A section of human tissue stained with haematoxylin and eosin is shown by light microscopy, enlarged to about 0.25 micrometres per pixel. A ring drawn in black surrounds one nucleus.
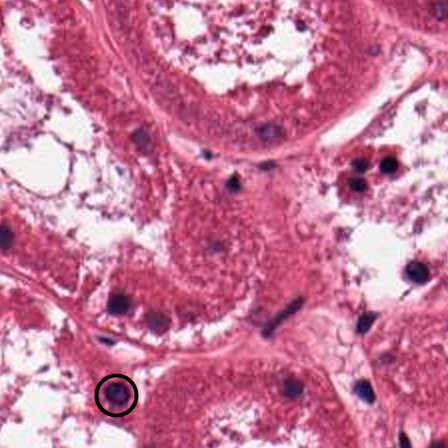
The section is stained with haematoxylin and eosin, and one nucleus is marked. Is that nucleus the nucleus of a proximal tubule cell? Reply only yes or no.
yes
